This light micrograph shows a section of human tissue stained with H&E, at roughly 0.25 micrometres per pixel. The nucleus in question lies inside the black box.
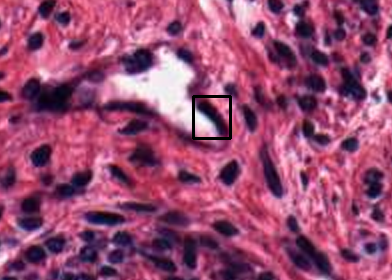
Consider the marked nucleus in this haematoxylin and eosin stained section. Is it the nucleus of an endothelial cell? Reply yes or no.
yes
